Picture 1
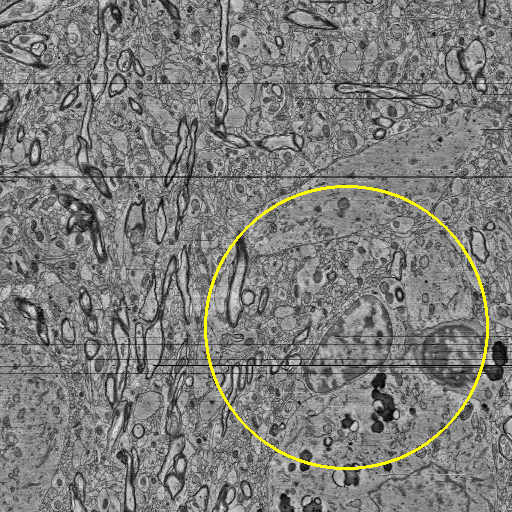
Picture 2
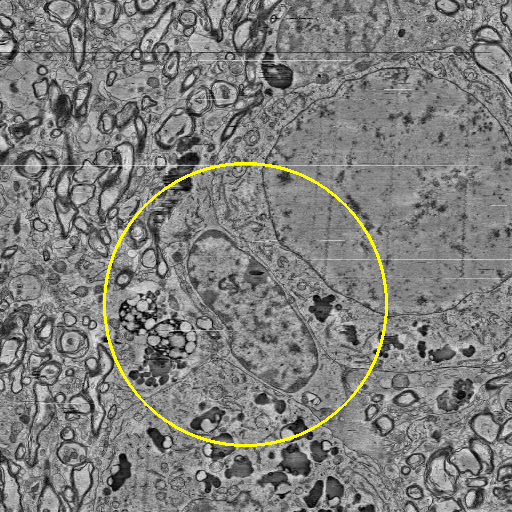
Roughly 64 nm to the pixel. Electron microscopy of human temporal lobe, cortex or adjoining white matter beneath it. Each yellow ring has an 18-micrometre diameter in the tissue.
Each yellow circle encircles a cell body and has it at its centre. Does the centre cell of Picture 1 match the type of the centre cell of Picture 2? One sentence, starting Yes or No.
Yes, the cell centred in Picture 1 and the one in Picture 2 share a type.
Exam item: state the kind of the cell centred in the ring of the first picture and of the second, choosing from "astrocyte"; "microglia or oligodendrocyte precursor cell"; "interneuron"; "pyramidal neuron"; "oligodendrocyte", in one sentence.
In the first picture and in the second, the ring is centred on a microglial cell or oligodendrocyte precursor cell.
